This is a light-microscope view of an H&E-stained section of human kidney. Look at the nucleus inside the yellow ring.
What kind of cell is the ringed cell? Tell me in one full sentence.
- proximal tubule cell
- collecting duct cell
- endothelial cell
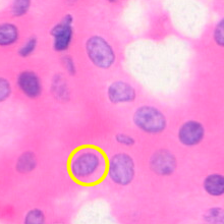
As classified here, the ringed cell is a proximal tubule cell.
